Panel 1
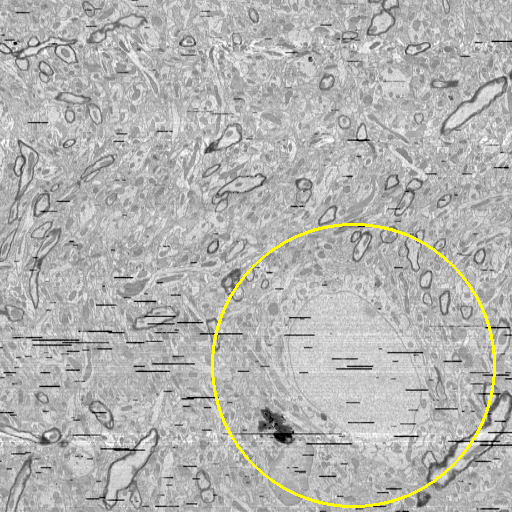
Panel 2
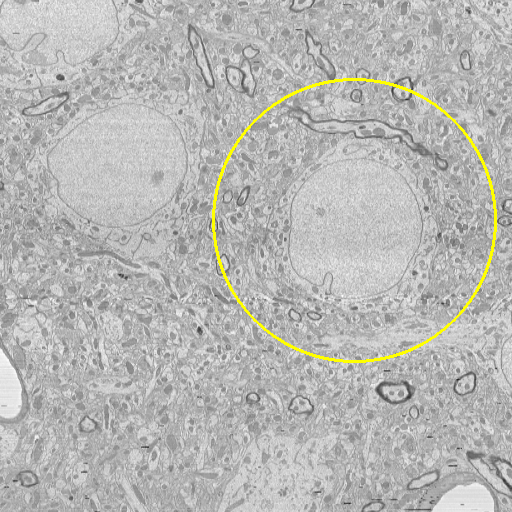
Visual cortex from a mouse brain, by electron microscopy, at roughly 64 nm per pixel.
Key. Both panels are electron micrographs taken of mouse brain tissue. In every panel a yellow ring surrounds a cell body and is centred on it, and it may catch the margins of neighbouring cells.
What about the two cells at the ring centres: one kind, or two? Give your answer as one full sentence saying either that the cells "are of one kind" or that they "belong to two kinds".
Across Panels 1 and 2, the two cells at the ring centres are of one kind.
